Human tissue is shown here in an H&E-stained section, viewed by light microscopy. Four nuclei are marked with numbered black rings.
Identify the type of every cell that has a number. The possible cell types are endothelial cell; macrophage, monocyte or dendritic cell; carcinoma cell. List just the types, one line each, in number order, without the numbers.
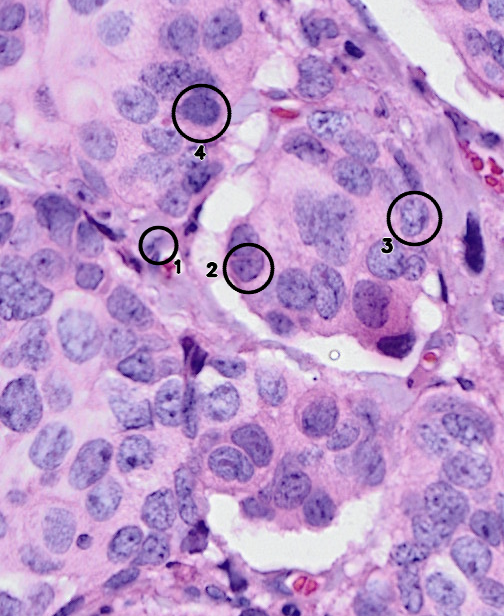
endothelial cell
carcinoma cell
carcinoma cell
carcinoma cell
